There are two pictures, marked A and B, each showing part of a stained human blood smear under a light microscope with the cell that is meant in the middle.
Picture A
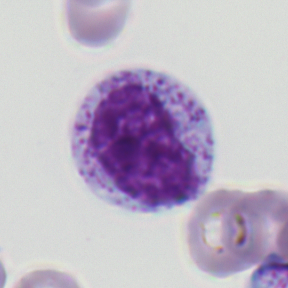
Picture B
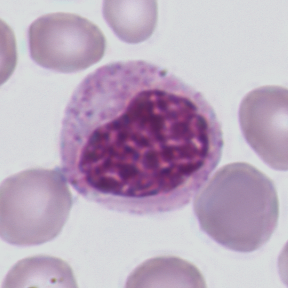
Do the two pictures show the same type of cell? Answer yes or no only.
yes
